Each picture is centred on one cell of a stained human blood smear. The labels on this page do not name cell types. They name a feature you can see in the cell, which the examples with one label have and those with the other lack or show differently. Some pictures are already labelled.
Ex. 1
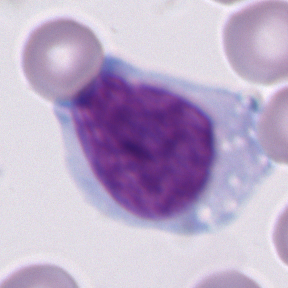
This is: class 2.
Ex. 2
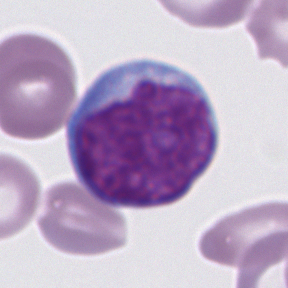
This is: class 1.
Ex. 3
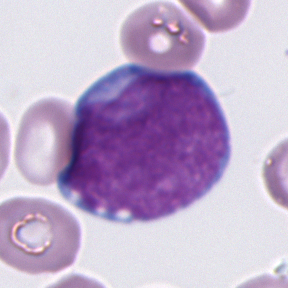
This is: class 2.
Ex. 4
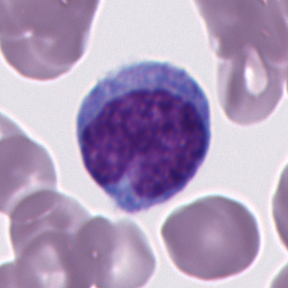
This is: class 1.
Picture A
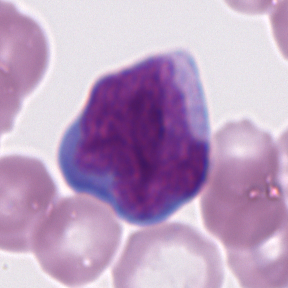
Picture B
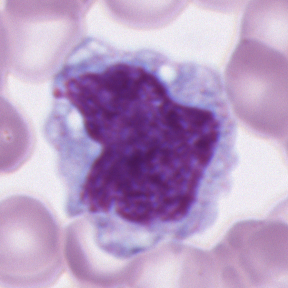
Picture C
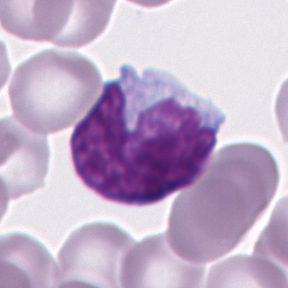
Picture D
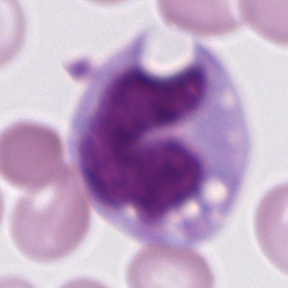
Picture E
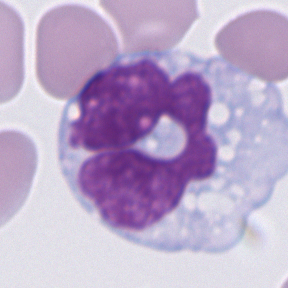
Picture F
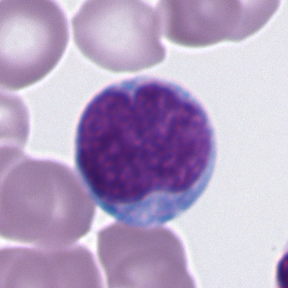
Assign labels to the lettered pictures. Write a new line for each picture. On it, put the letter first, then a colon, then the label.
A: class 1.
B: class 2.
C: class 1.
D: class 2.
E: class 2.
F: class 1.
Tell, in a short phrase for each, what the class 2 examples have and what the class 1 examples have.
Seen in class 2: vacuoles present; seen in class 1: no vacuoles.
